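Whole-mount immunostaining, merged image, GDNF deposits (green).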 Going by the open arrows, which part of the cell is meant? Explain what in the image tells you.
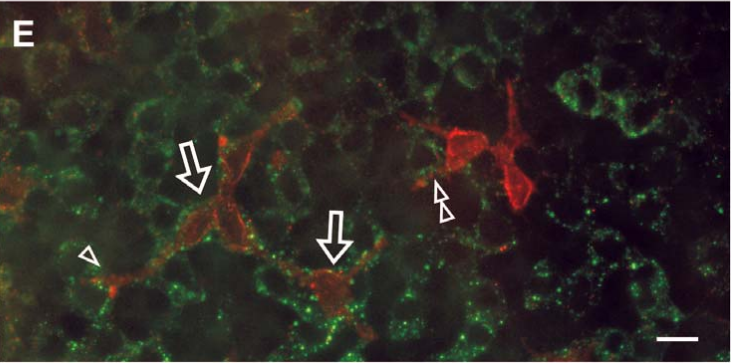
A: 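The open arrows point at the broad central parts of red-outlined cells. Thin red extensions run out from these central parts. So: cell bodies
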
